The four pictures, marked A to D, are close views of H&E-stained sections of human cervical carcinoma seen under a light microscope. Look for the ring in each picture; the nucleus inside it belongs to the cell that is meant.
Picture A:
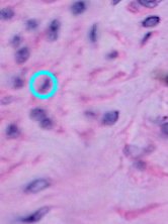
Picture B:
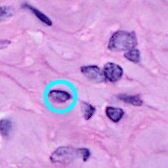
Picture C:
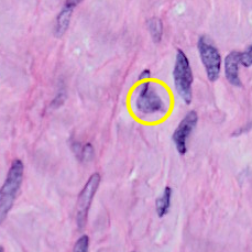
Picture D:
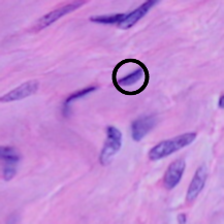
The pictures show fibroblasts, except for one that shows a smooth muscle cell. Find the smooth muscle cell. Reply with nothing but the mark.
A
